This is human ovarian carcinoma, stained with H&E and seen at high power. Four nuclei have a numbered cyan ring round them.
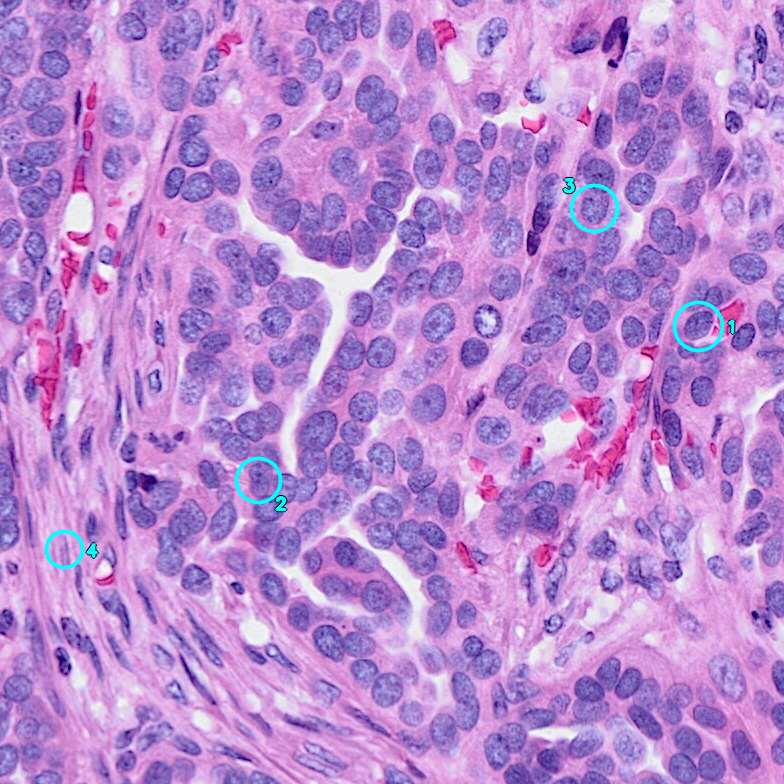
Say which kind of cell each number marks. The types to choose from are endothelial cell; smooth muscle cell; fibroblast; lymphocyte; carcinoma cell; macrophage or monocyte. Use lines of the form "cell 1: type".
cell 1: carcinoma cell
cell 2: carcinoma cell
cell 3: carcinoma cell
cell 4: fibroblast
